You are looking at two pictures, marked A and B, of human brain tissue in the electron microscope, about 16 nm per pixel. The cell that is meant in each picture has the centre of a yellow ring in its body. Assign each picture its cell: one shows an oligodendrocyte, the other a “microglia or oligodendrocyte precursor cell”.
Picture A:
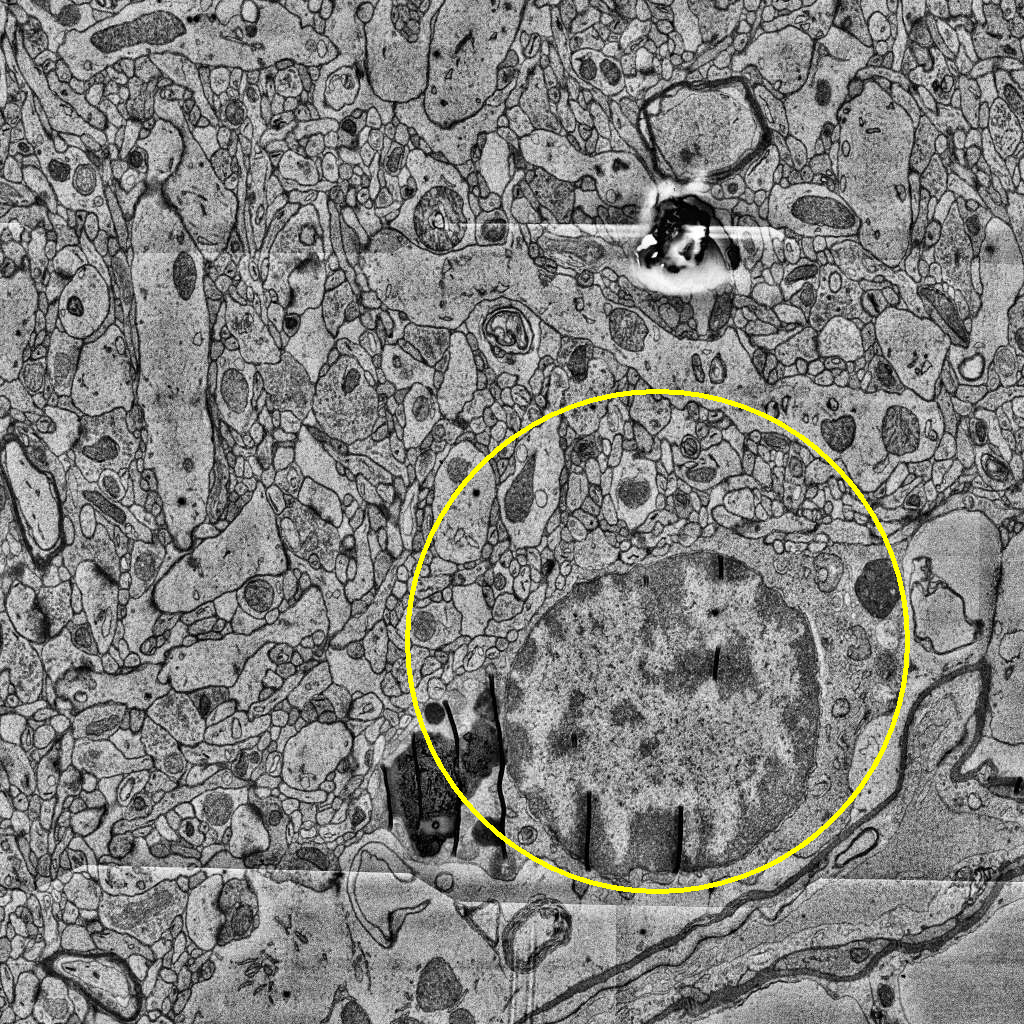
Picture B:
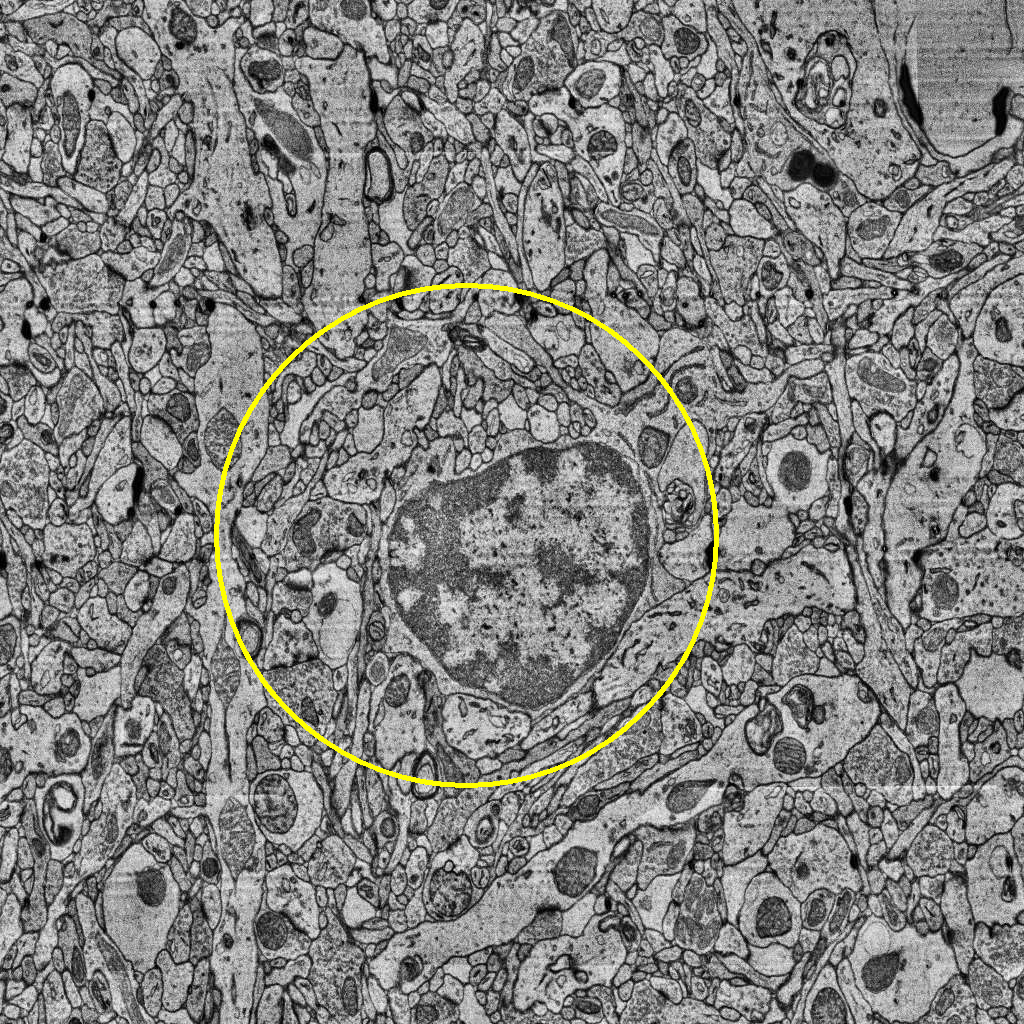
The cell in picture A is an oligodendrocyte, and the one in picture B is a “microglia or oligodendrocyte precursor cell”.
